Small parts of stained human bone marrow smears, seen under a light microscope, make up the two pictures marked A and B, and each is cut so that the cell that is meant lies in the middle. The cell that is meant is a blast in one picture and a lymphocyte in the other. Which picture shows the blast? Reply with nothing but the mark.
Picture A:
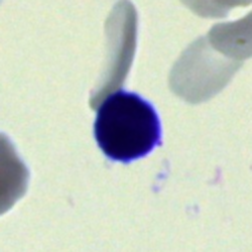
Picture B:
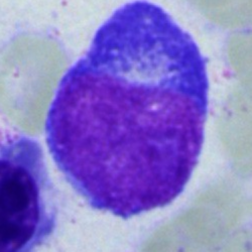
B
